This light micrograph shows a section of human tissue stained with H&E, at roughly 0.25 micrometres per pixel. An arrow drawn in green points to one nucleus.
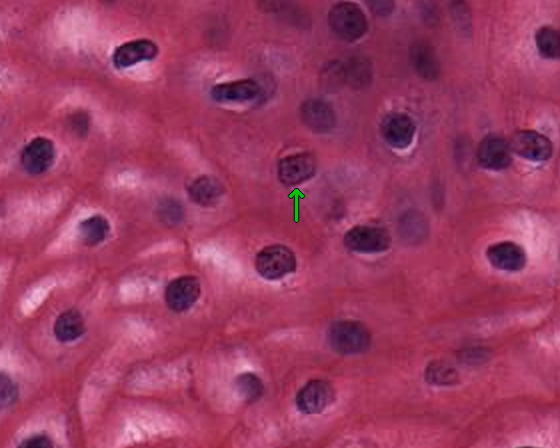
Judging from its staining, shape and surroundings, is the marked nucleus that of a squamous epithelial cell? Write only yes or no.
yes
